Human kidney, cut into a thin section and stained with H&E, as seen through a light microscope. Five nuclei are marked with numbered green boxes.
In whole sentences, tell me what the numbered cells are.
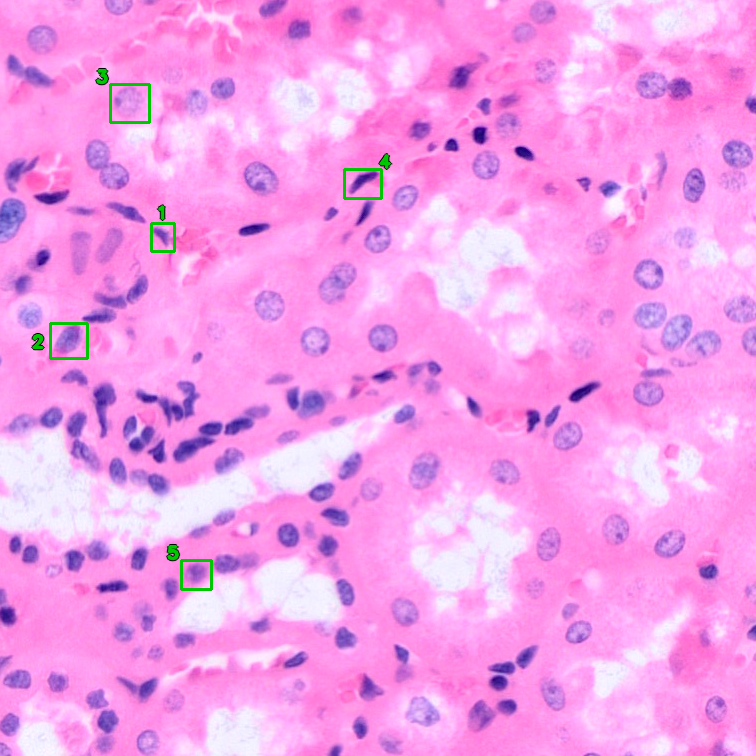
Cell 1 is an endothelial cell, cell 2 is an endothelial cell, cell 3 is a proximal tubule cell, cell 4 is an endothelial cell and cell 5 is a loop of Henle or distal tubule cell.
